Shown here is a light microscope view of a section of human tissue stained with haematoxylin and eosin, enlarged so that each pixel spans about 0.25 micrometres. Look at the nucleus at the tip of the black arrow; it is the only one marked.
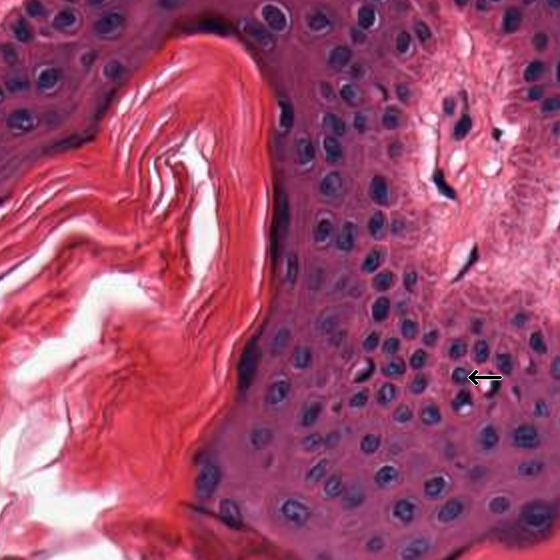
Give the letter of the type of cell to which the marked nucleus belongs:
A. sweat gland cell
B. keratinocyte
B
